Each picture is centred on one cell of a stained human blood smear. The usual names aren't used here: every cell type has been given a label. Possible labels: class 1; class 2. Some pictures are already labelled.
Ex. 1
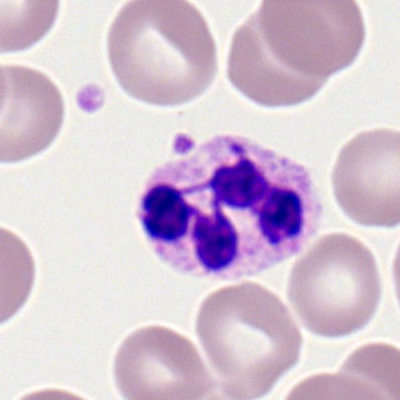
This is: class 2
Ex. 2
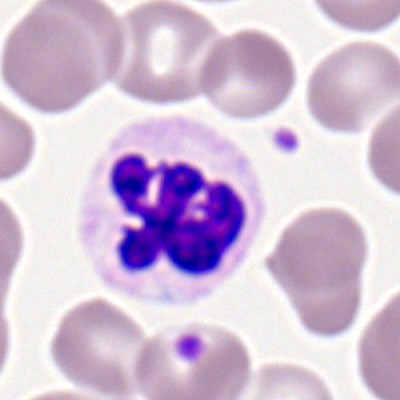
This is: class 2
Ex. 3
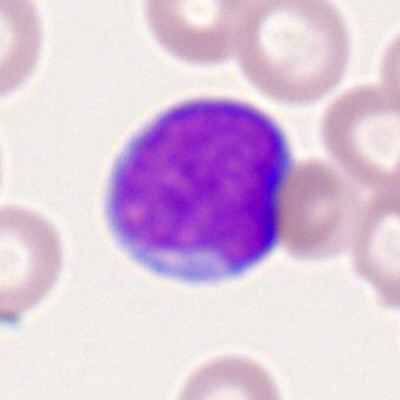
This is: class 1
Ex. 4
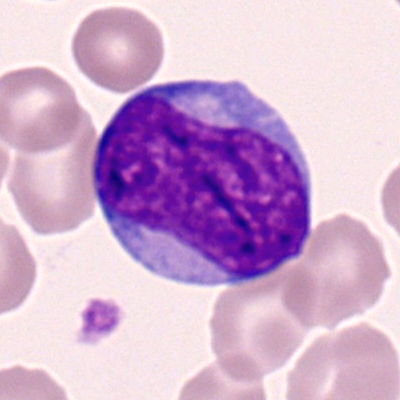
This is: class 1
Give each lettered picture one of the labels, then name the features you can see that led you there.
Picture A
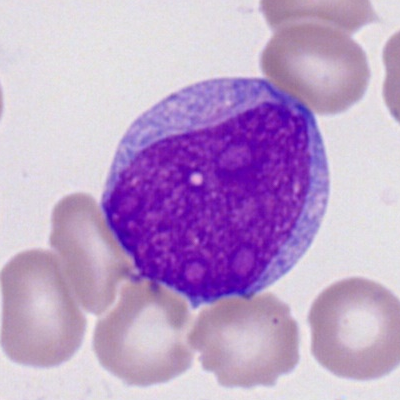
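Answer: class 1. The nucleus fills most of the cell, leaving a rim of cytoplasm that is widest along the top.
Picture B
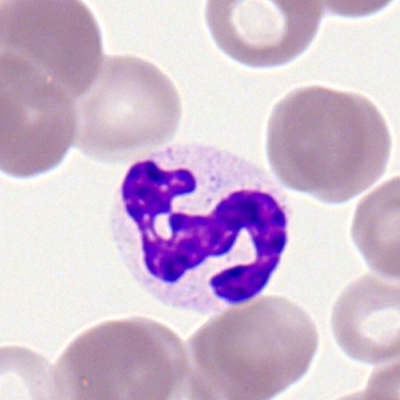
Answer: class 2. The cytoplasm is plentiful and pale pinkish-lilac.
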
